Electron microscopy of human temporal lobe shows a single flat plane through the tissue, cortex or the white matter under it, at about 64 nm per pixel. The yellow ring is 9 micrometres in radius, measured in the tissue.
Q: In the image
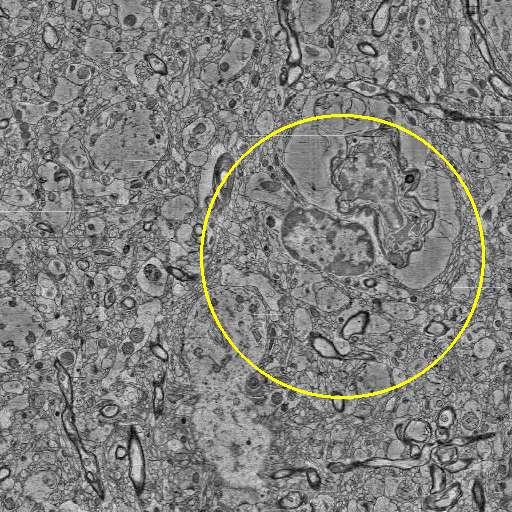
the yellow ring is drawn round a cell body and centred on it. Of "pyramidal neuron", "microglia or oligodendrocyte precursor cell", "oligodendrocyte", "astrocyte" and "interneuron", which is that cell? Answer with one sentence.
The cell centred in the ring is a microglial cell or oligodendrocyte precursor cell.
